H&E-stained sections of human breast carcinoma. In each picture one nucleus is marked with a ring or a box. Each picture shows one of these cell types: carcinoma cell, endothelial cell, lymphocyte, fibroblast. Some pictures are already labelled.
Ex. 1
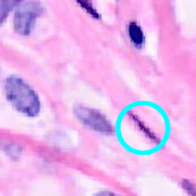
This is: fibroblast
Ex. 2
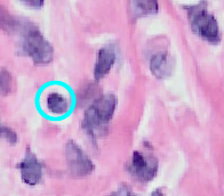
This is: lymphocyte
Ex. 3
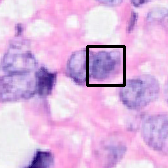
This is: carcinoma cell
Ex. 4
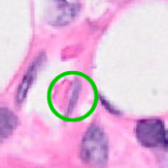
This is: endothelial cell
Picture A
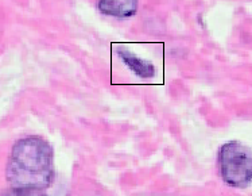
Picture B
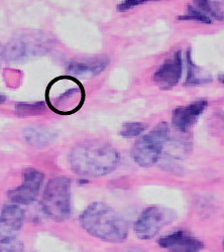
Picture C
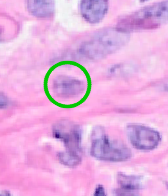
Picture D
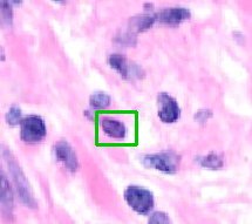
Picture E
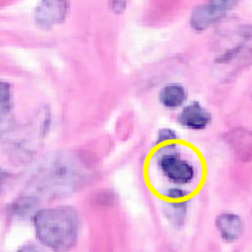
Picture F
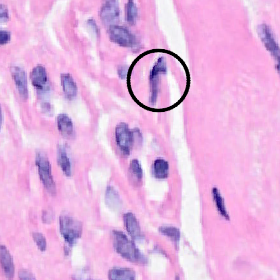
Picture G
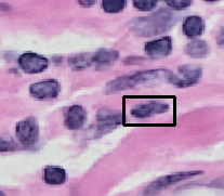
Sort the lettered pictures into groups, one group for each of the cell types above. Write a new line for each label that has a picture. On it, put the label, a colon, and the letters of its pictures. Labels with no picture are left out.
endothelial cell: B, C
lymphocyte: D, E, G
fibroblast: A, F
